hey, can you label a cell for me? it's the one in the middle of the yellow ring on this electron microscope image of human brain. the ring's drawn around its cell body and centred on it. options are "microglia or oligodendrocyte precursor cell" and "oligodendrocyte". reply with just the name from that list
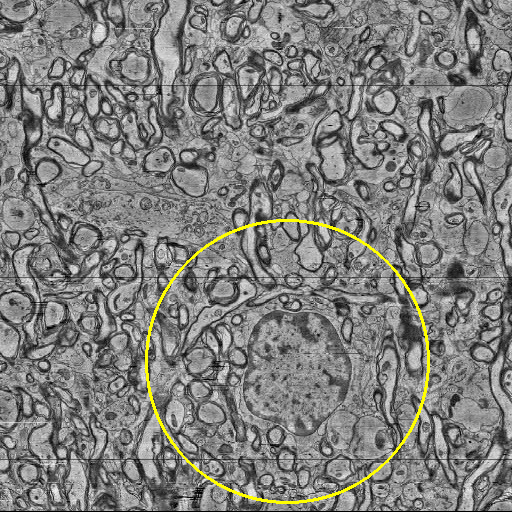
microglia or oligodendrocyte precursor cell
